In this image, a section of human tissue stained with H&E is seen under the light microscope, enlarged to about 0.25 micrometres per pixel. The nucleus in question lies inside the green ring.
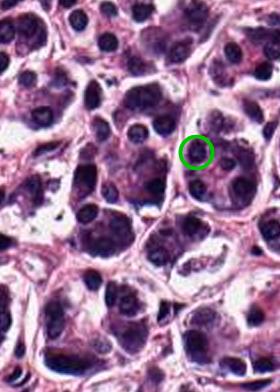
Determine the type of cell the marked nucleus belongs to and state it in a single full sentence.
It is to a pancreatic acinar cell that the marked nucleus belongs.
